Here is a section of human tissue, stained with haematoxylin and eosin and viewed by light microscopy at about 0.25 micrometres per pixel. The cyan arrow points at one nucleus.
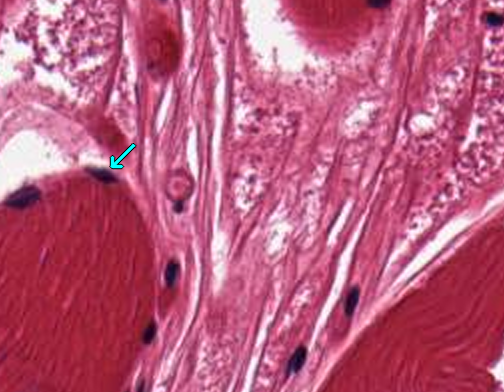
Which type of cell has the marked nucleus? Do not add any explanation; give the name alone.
skeletal muscle fibre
